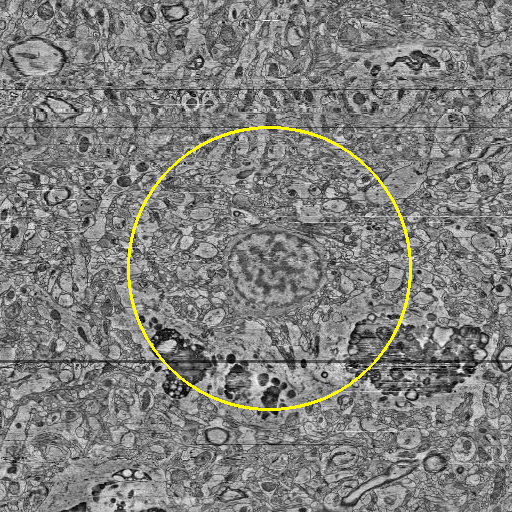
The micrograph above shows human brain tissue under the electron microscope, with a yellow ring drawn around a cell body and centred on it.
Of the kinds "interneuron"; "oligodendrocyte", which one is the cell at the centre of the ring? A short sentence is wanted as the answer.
The one at the centre of the ring is an oligodendrocyte.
